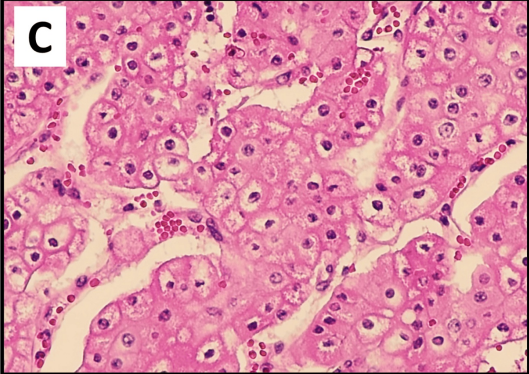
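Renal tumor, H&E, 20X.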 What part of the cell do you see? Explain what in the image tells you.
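Perinuclear halos. Many nuclei are surrounded by a clear rim within the pink cytoplasm. The clear rims sit directly around round nuclei.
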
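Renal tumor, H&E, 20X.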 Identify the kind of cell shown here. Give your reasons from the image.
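Oncocytic cells. Large polygonal cells with abundant granular pink cytoplasm. Round central nuclei with visible nucleoli. Cells arranged in solid nests separated by thin vascular stroma.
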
